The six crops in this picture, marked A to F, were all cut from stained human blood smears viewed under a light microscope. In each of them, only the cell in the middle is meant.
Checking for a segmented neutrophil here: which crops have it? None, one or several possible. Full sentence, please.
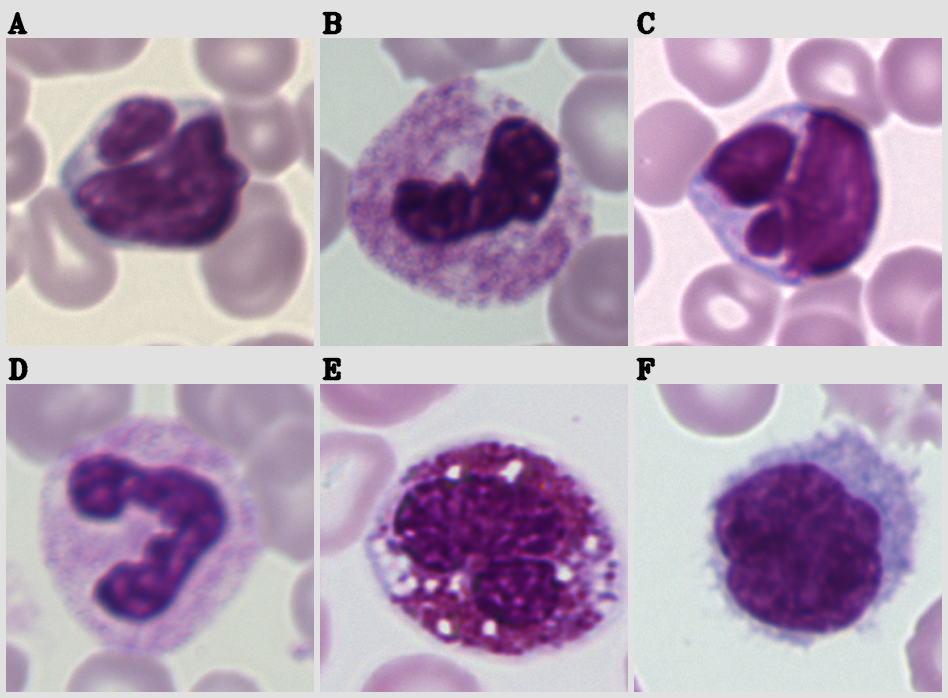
The target cells in crops B and D are segmented neutrophils.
